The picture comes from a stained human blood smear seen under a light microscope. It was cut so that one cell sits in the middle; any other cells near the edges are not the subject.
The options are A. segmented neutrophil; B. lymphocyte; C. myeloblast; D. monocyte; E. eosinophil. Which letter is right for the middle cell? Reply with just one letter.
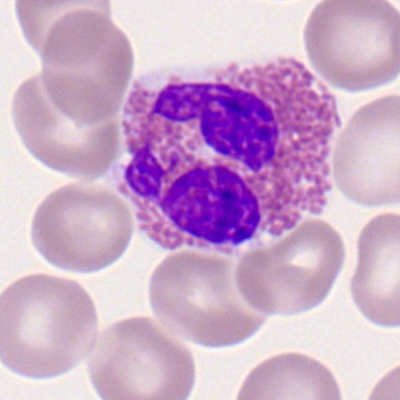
E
